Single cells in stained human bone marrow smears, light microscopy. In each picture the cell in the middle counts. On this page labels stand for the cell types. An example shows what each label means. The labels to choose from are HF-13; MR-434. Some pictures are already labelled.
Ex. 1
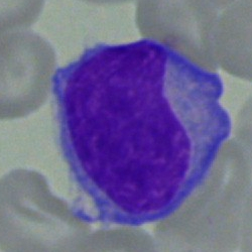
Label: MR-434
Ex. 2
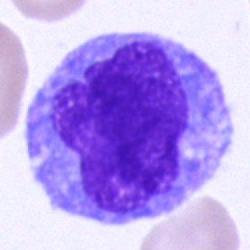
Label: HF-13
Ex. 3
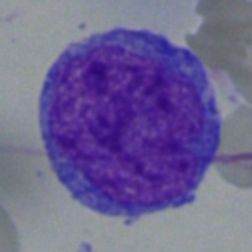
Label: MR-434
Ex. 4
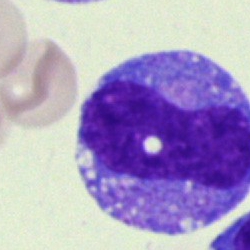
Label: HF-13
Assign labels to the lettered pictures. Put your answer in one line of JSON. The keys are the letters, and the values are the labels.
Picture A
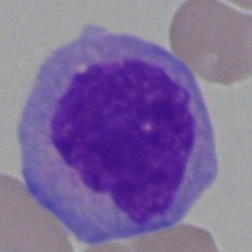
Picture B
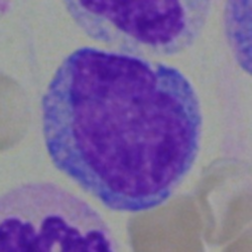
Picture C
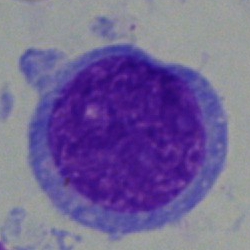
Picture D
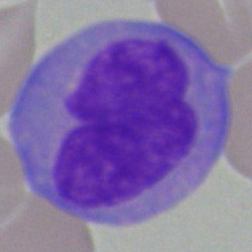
{"A": "HF-13", "B": "MR-434", "C": "MR-434", "D": "HF-13"}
